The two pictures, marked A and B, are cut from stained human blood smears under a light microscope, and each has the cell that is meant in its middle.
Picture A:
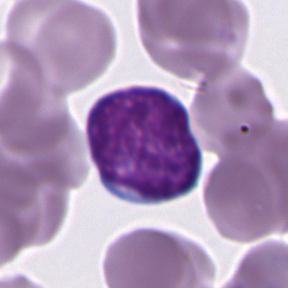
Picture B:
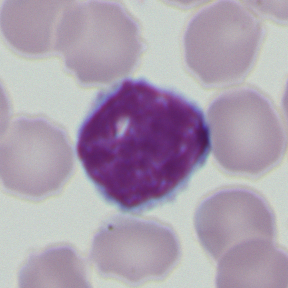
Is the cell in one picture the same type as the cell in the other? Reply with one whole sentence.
Yes, both cells are typical lymphocytes.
